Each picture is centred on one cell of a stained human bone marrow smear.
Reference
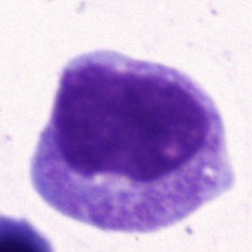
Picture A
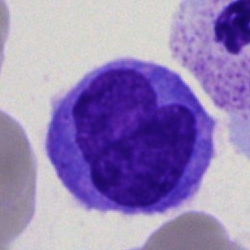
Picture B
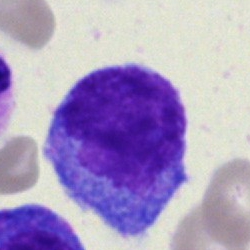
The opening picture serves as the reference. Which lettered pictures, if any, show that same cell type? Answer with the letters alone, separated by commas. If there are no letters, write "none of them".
none of them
